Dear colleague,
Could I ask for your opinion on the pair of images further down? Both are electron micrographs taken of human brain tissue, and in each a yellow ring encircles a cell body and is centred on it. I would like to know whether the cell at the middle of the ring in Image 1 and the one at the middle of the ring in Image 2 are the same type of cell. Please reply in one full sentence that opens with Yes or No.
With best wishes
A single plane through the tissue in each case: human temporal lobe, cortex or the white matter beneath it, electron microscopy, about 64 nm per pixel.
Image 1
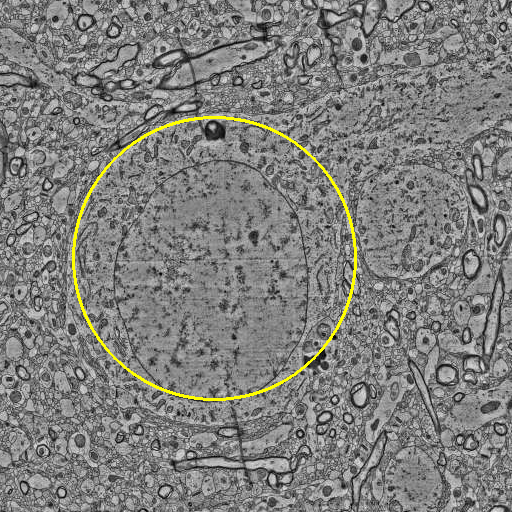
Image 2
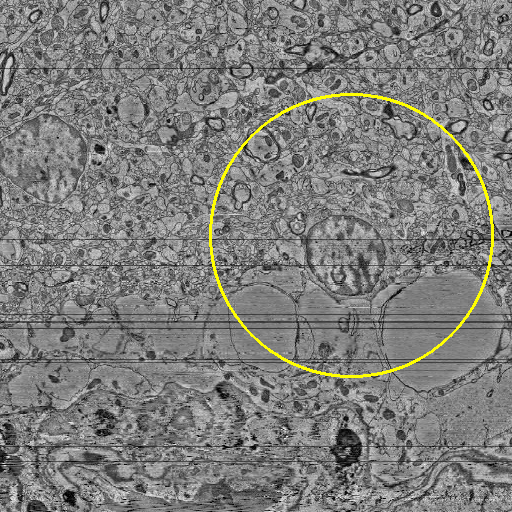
No, the cells at the ring centres in Image 1 and Image 2 are of two types.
